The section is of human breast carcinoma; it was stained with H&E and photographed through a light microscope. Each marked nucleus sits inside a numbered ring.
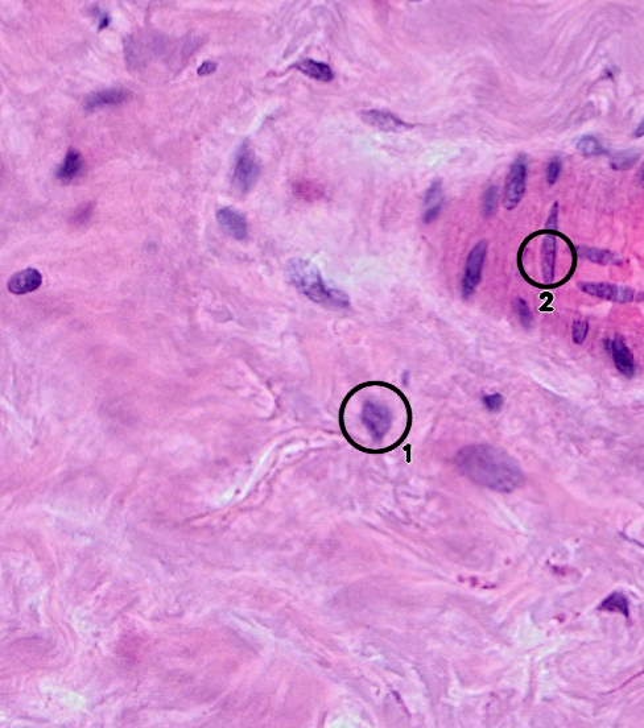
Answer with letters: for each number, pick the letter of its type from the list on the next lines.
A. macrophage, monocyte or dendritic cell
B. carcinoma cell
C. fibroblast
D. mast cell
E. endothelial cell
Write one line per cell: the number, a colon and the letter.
1: C
2: E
